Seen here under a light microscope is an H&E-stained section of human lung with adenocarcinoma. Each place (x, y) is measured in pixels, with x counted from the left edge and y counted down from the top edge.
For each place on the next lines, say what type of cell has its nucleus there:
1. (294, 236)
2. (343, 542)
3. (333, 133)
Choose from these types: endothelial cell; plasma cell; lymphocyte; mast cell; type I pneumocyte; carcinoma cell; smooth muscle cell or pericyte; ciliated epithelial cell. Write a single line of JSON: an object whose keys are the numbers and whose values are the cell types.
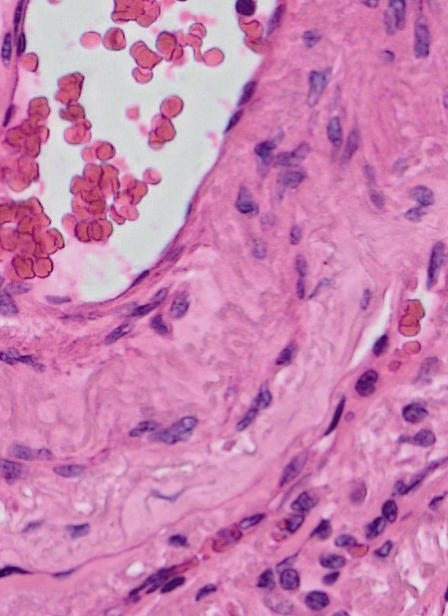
{"1": "smooth muscle cell or pericyte", "2": "lymphocyte", "3": "smooth muscle cell or pericyte"}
